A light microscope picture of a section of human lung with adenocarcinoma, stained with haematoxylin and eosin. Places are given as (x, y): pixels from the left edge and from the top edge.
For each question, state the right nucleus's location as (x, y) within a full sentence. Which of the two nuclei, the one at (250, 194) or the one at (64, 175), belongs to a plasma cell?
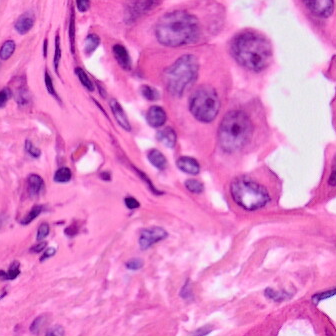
Of the two nuclei, the one at (64, 175) belongs to a plasma cell.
